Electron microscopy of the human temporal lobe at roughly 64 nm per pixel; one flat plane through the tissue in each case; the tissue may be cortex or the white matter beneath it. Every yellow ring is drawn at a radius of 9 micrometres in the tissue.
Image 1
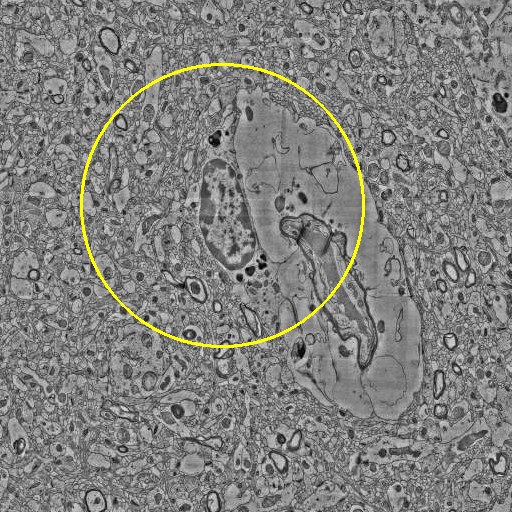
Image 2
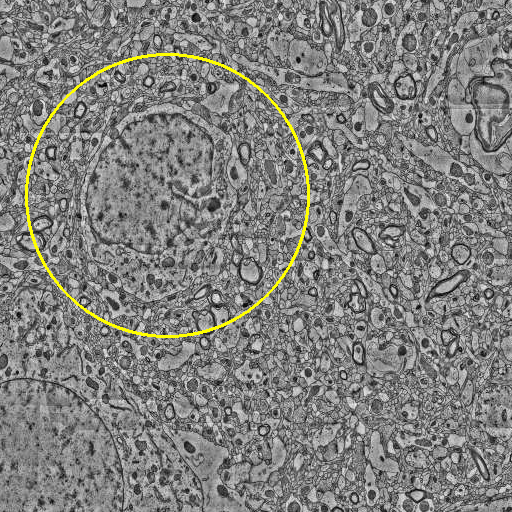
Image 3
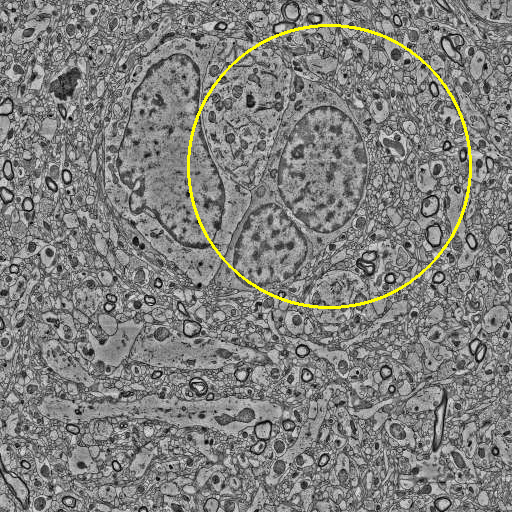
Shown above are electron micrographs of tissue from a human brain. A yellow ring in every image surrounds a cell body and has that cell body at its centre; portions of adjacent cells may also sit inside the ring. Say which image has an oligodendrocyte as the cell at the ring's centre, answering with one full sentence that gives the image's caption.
The image whose ring is centred on the requested cell is Image 3.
